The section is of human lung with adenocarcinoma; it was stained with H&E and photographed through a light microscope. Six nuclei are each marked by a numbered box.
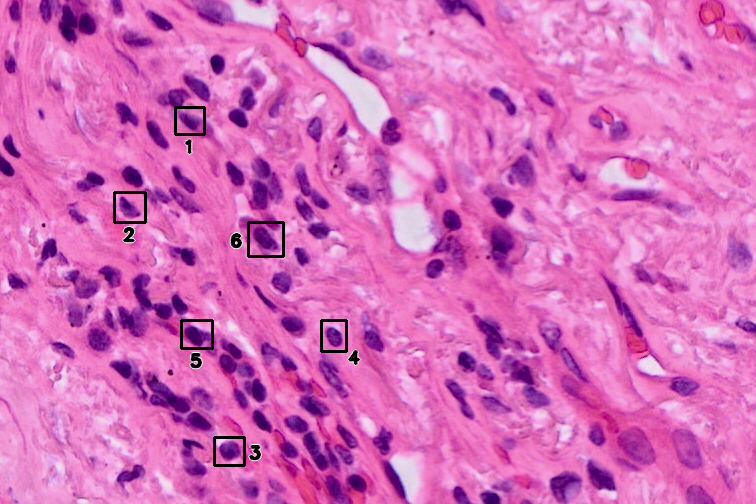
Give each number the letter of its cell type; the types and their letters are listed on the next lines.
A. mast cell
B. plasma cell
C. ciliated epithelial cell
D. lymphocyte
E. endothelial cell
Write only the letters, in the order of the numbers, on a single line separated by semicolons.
B; D; D; D; D; B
